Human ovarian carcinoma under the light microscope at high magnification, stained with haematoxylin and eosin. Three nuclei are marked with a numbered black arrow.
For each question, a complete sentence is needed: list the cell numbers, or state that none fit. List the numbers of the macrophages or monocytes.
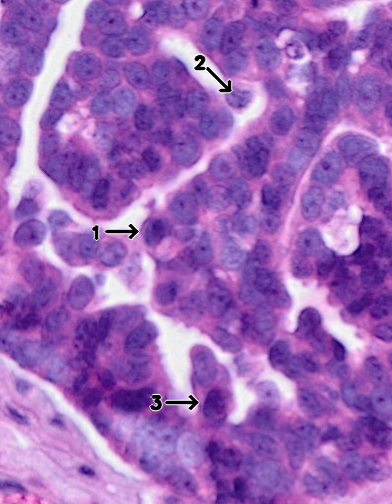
Just one numbered cell is a macrophage or monocyte, and that cell is number 2.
